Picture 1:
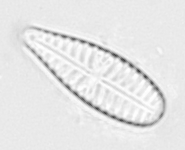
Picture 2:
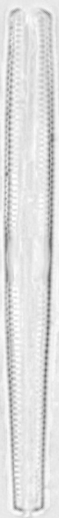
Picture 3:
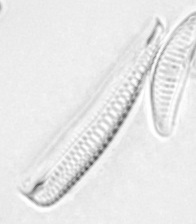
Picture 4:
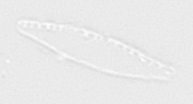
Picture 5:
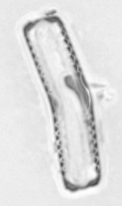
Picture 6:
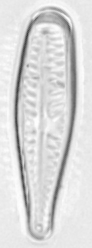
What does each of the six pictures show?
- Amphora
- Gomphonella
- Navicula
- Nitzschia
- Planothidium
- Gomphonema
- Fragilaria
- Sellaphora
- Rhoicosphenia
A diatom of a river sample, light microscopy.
(1) Gomphonella
(2) Fragilaria
(3) Rhoicosphenia
(4) Nitzschia
(5) Planothidium
(6) Gomphonella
